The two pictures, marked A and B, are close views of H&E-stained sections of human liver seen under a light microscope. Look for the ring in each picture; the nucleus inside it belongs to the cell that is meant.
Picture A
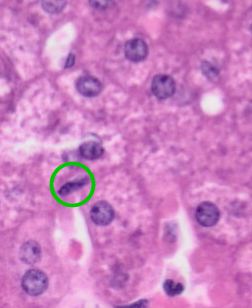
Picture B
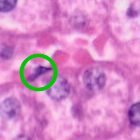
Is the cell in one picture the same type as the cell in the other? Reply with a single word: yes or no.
no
